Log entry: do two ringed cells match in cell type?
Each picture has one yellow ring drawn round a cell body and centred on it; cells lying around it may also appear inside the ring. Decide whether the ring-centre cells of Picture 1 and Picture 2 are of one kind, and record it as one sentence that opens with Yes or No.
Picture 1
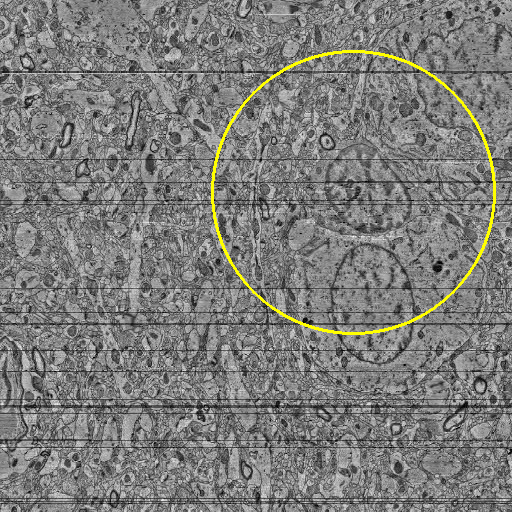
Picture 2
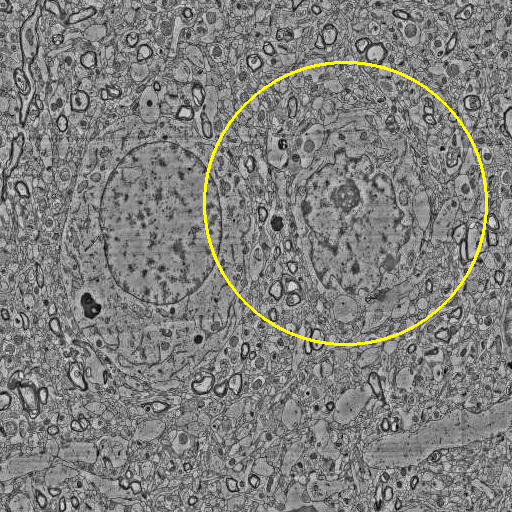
No, the cells at the ring centres of the two pictures belong to two kinds.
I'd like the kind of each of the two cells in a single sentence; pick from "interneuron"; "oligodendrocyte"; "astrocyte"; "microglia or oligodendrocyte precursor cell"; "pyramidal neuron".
The first ring marks an oligodendrocyte, and the second ring marks an interneuron.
